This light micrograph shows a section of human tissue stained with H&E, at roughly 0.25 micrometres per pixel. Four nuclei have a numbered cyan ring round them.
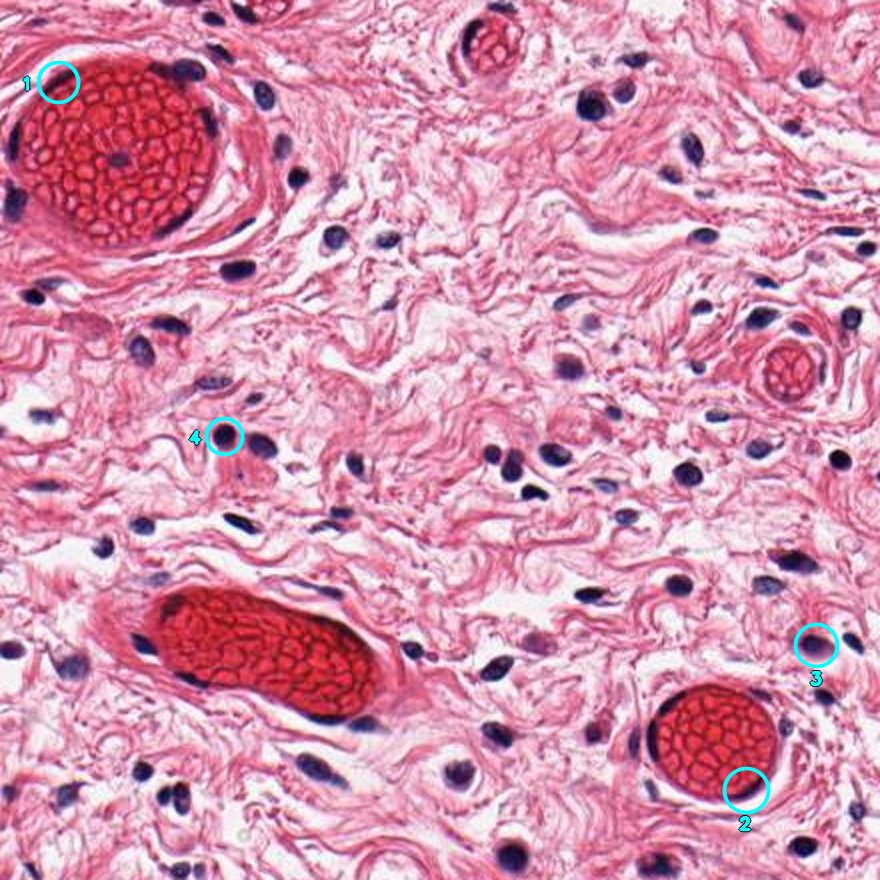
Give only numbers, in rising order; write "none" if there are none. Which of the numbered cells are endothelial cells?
1, 2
